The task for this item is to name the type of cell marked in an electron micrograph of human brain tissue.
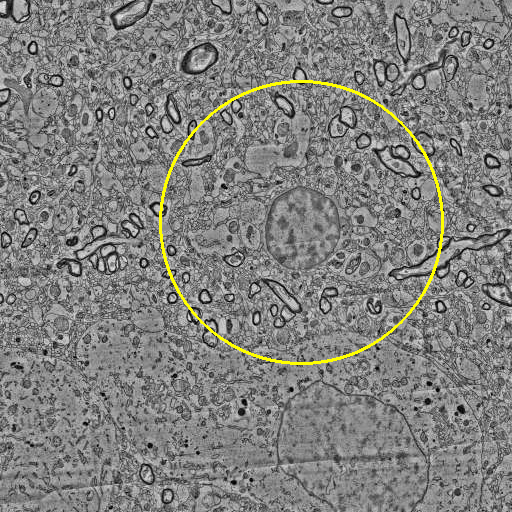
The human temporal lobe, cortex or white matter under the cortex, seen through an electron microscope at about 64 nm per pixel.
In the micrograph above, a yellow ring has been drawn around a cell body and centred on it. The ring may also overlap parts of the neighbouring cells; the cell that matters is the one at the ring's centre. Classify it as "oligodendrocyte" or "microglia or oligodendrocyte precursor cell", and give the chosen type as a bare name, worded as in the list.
oligodendrocyte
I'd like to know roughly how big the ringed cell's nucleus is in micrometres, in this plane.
In this plane, the nucleus measures approximately 5 micrometres across.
